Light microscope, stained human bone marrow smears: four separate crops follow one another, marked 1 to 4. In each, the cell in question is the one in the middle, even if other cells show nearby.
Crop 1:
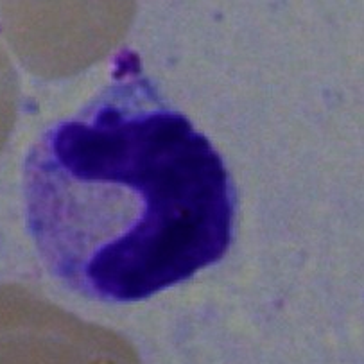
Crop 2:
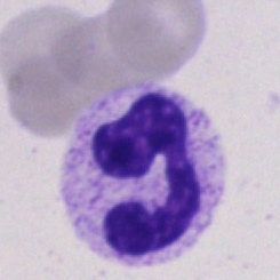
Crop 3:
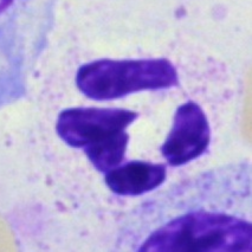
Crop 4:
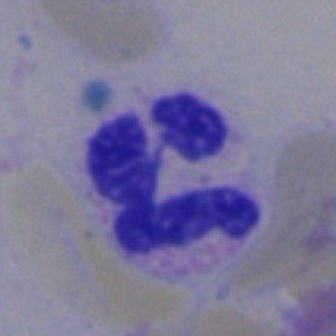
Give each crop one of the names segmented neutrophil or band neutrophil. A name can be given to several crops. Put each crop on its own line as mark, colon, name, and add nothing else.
1: band neutrophil
2: segmented neutrophil
3: segmented neutrophil
4: segmented neutrophil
